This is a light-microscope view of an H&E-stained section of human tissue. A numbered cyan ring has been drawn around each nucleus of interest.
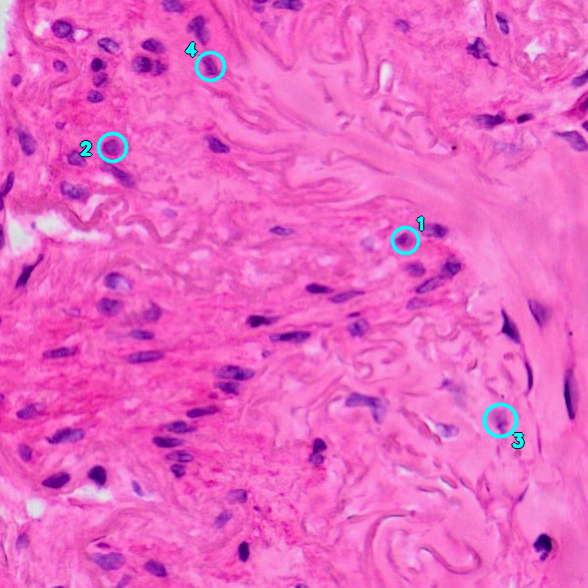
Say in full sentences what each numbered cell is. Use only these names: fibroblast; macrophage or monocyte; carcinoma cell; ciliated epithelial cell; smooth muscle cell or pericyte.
Cell 1 is a smooth muscle cell or pericyte, cell 2 is a smooth muscle cell or pericyte, cell 3 is a fibroblast and cell 4 is a smooth muscle cell or pericyte.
